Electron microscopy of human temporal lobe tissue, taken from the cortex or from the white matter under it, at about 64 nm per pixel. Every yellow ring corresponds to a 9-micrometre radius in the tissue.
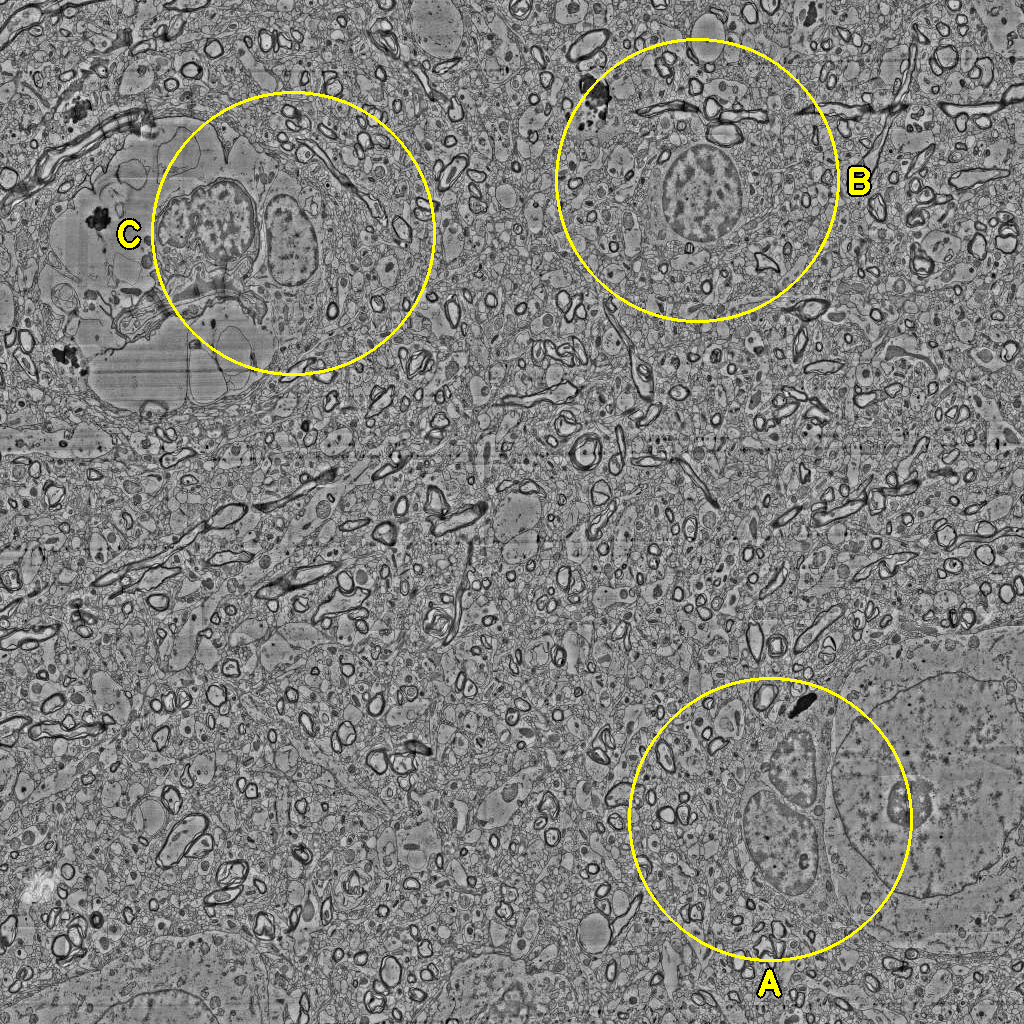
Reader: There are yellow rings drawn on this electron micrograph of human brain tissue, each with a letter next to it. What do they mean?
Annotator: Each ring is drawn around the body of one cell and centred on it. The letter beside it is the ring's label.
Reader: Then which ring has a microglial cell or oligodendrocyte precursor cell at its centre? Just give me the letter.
C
